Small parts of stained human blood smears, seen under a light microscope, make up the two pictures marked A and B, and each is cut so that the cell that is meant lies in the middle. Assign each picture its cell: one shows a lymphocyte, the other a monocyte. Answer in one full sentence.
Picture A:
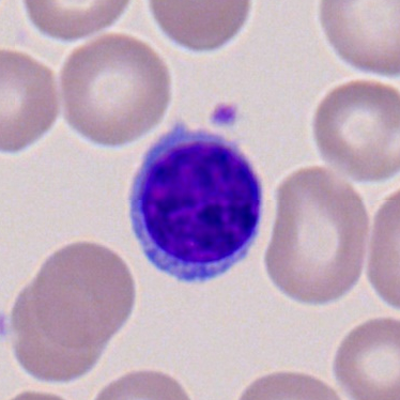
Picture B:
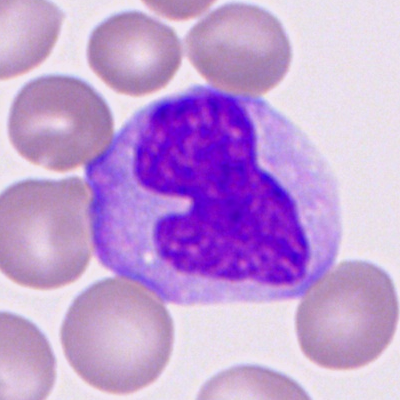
In picture A the cell is a lymphocyte; in picture B, a monocyte.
